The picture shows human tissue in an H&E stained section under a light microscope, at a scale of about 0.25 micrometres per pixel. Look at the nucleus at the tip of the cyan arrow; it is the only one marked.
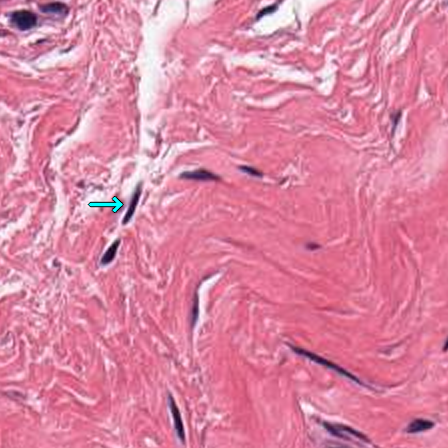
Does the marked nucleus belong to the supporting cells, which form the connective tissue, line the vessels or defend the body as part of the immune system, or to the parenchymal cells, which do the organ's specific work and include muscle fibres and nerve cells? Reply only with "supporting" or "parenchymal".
supporting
